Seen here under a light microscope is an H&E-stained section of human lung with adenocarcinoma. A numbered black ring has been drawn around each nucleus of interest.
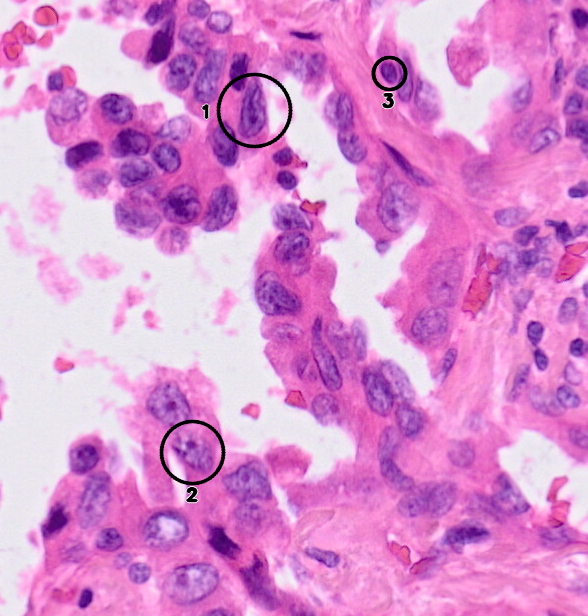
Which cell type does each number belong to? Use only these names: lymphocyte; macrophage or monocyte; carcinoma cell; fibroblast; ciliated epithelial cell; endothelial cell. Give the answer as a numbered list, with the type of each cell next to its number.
1. carcinoma cell
2. carcinoma cell
3. lymphocyte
